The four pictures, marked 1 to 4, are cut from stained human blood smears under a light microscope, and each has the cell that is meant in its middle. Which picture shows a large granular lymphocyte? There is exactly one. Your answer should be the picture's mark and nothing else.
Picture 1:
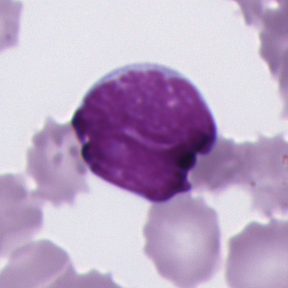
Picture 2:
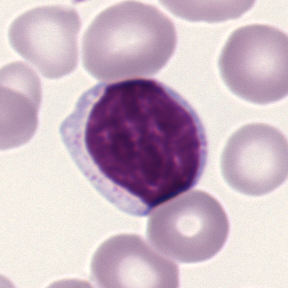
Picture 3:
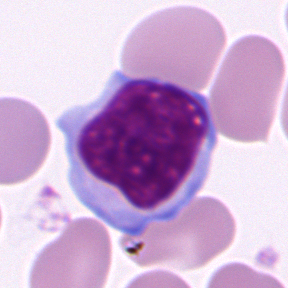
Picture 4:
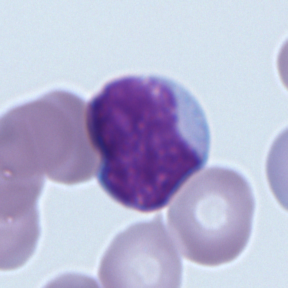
2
